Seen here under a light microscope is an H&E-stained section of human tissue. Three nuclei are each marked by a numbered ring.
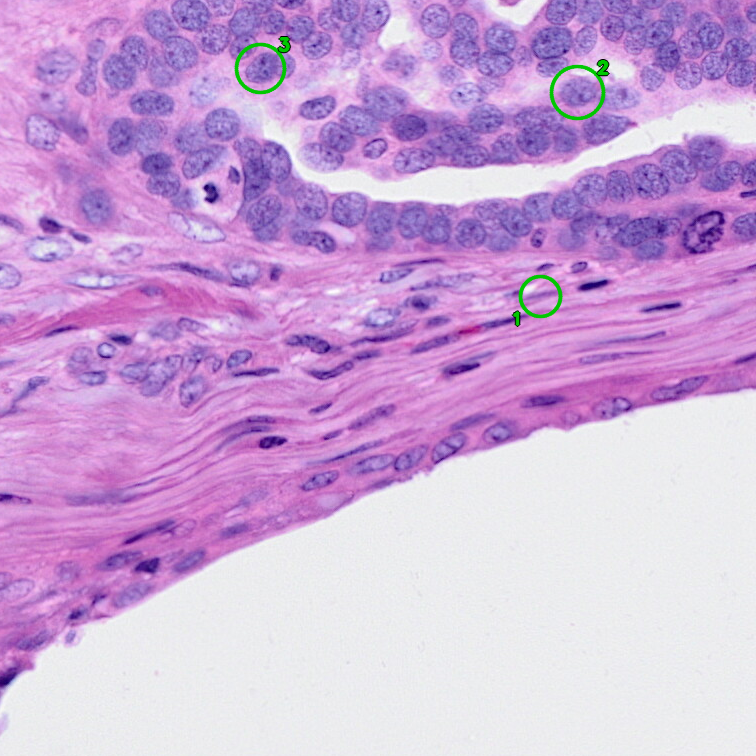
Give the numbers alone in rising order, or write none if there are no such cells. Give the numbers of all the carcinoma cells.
2, 3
